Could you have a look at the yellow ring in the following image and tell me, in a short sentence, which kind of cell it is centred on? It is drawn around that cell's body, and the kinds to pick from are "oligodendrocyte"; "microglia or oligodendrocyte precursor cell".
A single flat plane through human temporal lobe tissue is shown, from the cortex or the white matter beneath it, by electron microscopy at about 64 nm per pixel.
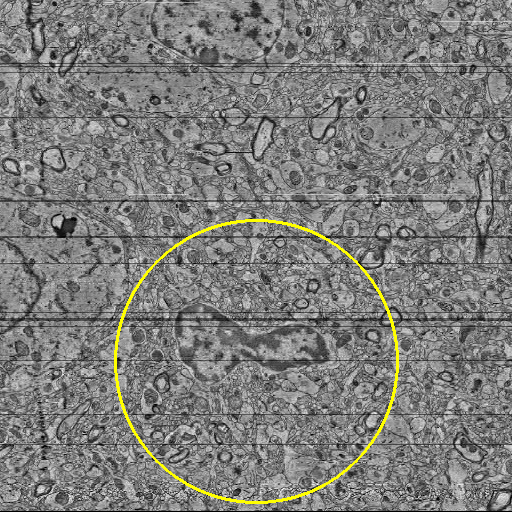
The ring is centred on the body of a microglial cell or oligodendrocyte precursor cell.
